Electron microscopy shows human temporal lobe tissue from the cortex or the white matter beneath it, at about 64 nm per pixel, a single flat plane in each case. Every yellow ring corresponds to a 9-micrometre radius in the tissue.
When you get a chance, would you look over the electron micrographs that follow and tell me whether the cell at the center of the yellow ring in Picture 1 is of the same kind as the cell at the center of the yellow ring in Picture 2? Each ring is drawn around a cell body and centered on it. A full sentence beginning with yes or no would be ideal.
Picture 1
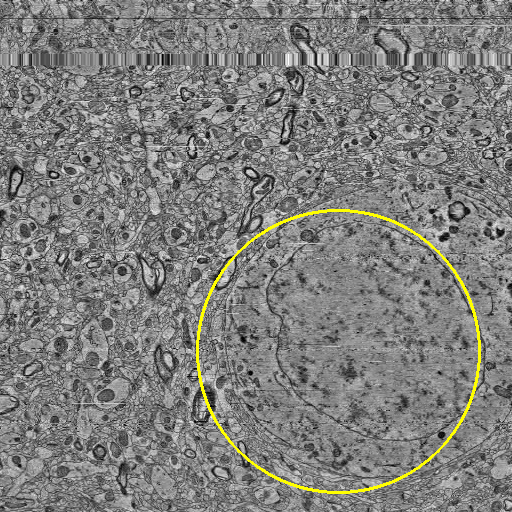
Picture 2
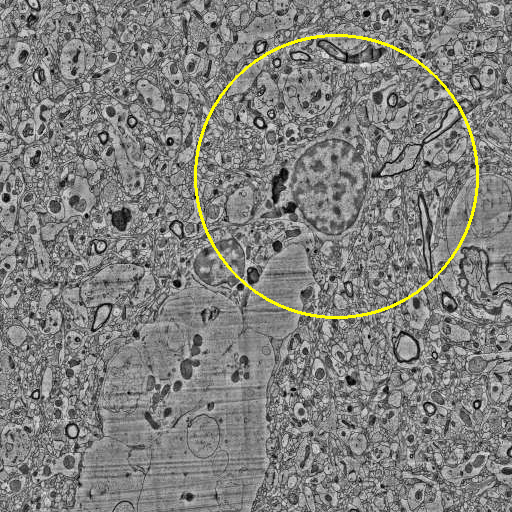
No, they are two kinds of cell.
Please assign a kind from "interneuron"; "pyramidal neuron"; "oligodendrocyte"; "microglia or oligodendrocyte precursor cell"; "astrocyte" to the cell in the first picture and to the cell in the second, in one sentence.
In the first picture we have a pyramidal neuron, and in the second, an oligodendrocyte.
